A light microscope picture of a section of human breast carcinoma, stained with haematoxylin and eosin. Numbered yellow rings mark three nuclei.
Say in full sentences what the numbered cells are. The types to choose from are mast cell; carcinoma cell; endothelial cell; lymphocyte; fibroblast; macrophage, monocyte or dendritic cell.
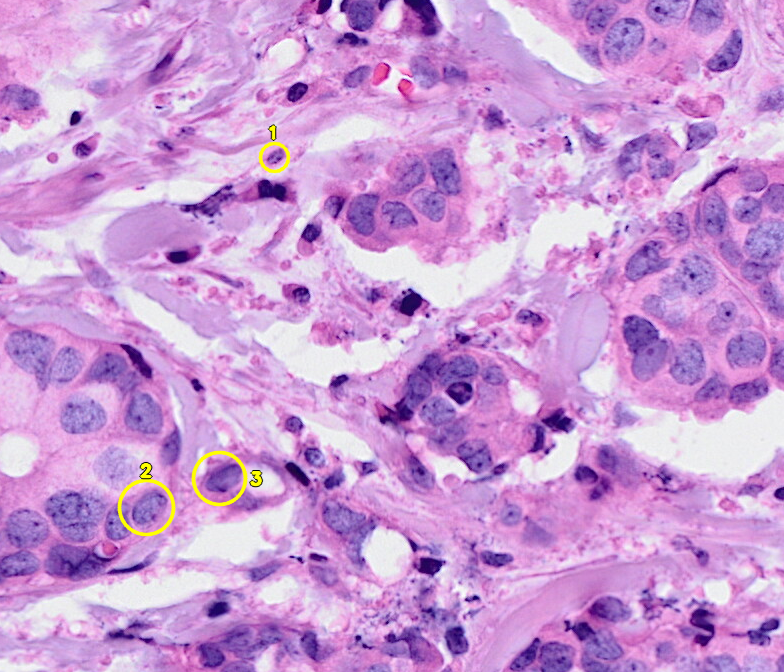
Cell 1 is a mast cell, cell 2 is a carcinoma cell and cell 3 is a carcinoma cell.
